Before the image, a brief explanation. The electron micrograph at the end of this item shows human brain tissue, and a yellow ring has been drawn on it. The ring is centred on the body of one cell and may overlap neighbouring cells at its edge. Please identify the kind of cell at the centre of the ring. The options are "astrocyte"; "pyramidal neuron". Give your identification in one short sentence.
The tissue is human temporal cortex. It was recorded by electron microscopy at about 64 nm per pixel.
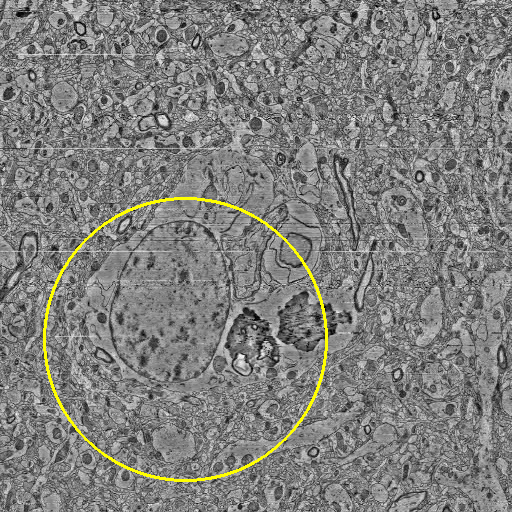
The ring has been placed around an astrocyte.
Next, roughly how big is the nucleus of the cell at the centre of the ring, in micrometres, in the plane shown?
In this plane the nucleus measures roughly 11 by 8 micrometers.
